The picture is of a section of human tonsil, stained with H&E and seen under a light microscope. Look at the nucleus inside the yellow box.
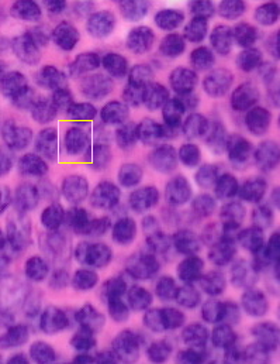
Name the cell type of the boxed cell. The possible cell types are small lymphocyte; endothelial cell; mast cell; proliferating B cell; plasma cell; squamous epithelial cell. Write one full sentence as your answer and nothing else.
In this tissue sample, the boxed cell is a small lymphocyte.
